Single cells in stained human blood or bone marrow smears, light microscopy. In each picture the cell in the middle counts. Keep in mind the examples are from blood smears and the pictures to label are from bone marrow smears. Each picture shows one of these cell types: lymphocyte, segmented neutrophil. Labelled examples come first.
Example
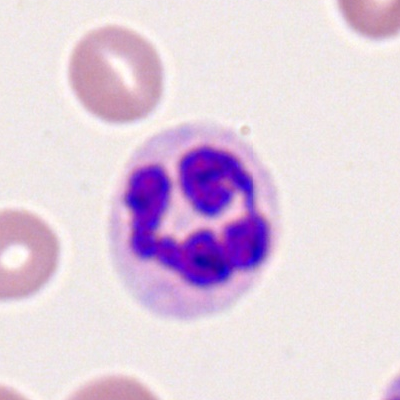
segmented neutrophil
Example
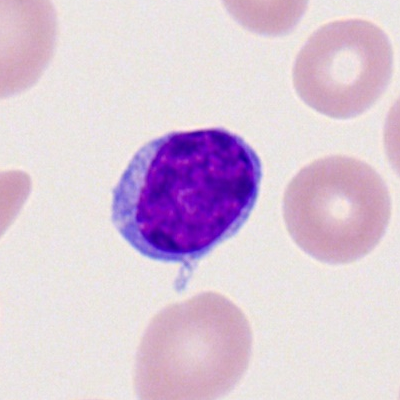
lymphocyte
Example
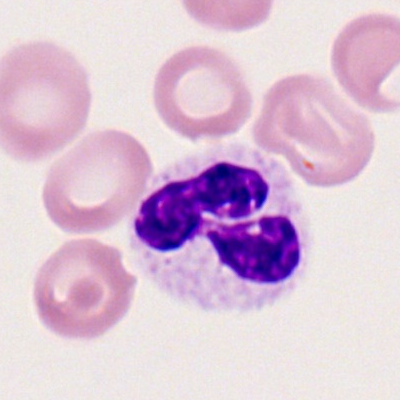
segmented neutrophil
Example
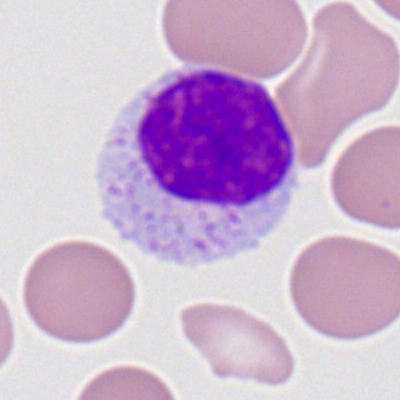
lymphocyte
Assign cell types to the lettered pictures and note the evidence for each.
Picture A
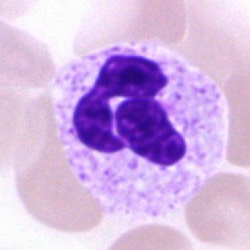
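segmented neutrophil. Evidence: A wide rim of pale lilac cytoplasm surrounds the nucleus.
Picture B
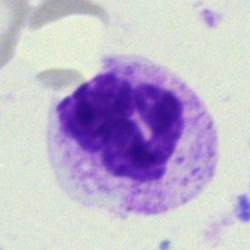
segmented neutrophil. Evidence: Small purple granules are scattered through the cytoplasm.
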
